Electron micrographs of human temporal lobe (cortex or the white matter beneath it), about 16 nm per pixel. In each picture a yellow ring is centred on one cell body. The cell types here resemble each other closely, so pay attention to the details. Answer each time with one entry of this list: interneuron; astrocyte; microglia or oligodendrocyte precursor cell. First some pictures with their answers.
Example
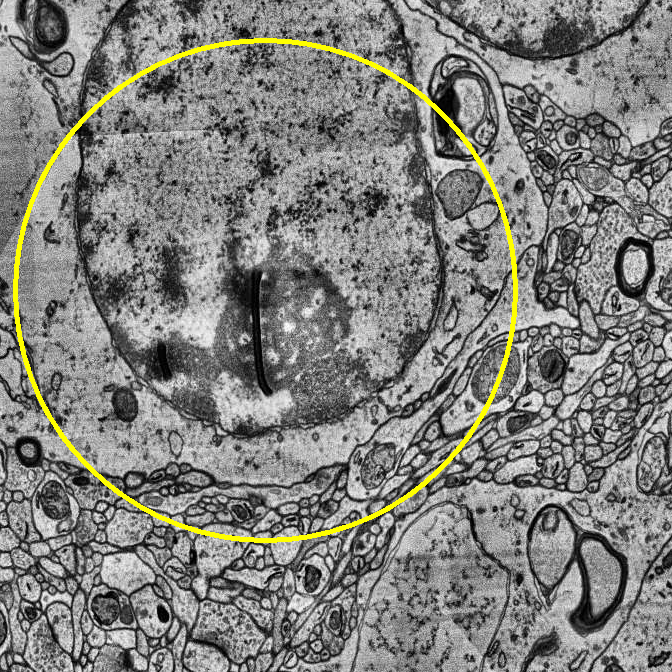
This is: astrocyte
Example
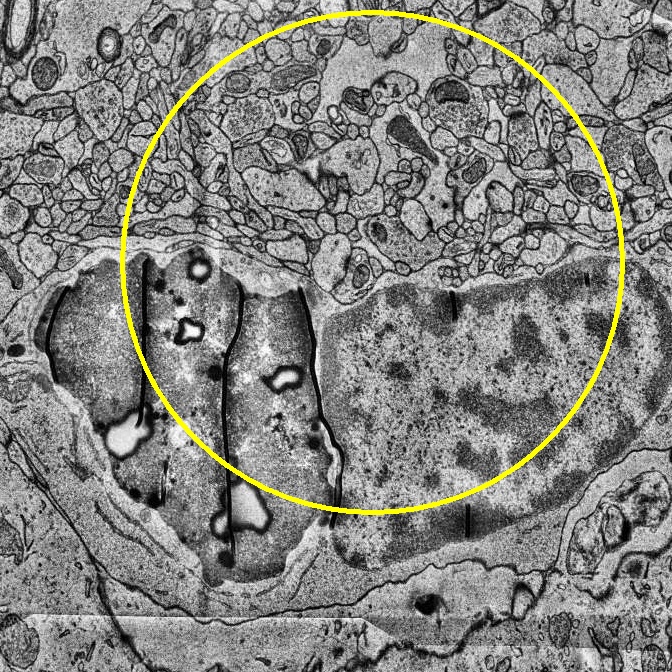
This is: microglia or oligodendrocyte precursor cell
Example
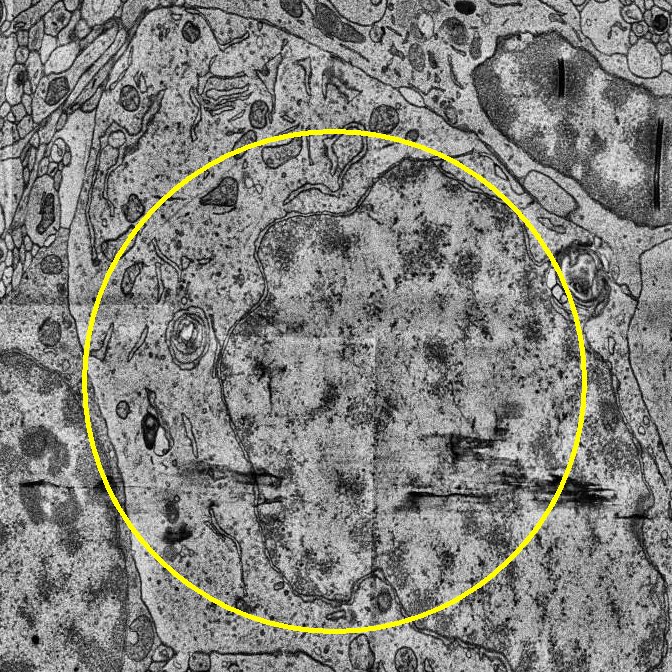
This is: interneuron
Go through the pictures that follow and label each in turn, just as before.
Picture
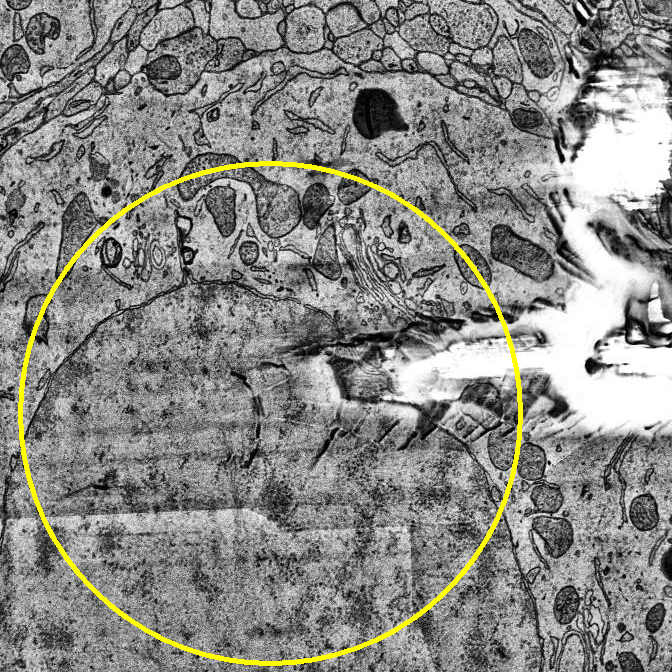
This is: interneuron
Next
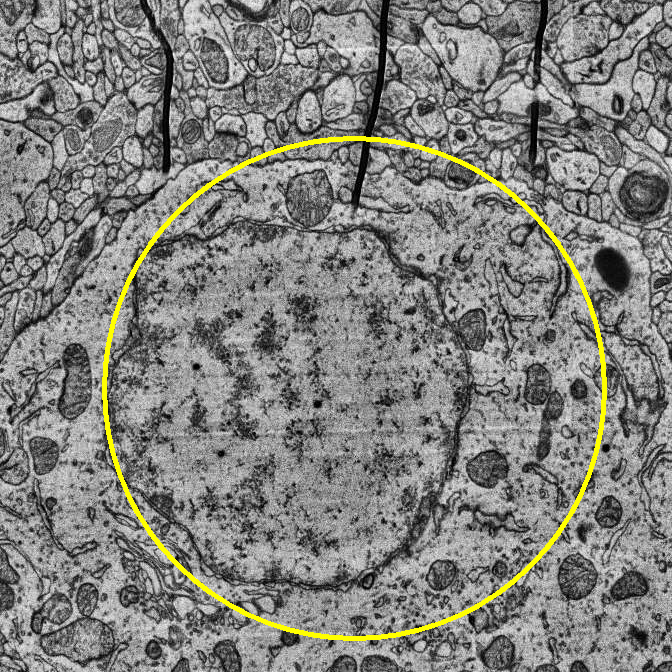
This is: interneuron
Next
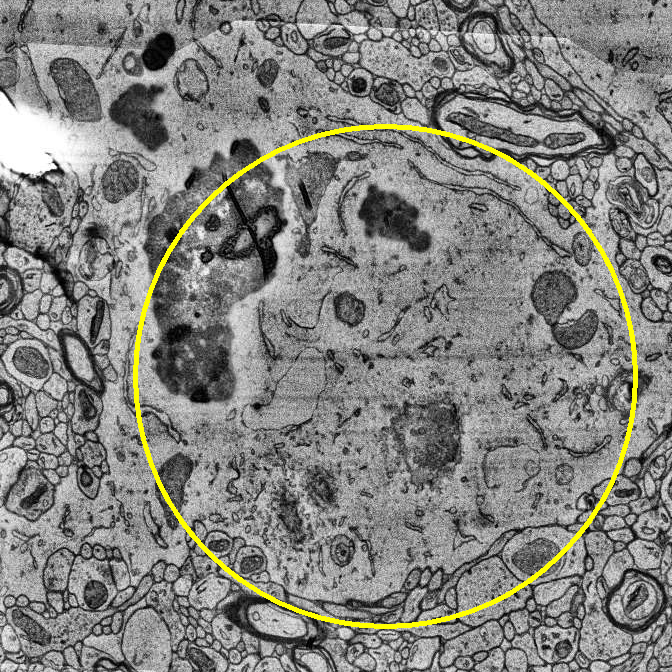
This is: astrocyte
